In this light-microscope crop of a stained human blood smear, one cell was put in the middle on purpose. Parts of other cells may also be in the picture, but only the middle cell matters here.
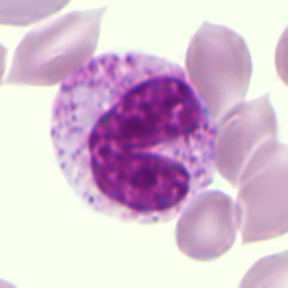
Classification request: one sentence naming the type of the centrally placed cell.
Present in the middle of the crop is a band neutrophil.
